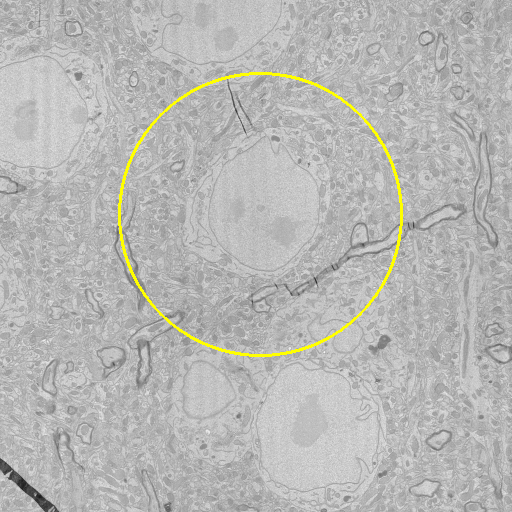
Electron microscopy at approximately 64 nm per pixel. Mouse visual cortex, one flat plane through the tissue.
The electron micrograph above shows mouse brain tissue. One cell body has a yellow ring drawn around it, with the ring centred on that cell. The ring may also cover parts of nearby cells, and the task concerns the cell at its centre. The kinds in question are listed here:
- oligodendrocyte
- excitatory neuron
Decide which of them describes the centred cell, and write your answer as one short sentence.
The centred cell is an excitatory neuron.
